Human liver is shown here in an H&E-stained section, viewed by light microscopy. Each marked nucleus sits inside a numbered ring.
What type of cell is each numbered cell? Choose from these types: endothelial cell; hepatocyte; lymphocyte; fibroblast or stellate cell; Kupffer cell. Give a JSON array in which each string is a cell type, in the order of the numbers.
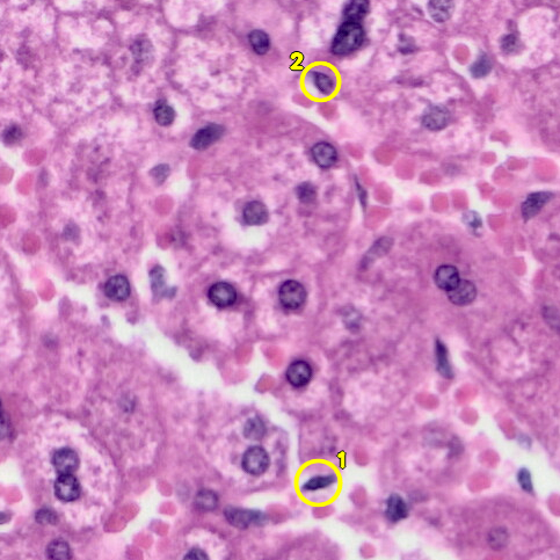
["lymphocyte", "Kupffer cell"]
